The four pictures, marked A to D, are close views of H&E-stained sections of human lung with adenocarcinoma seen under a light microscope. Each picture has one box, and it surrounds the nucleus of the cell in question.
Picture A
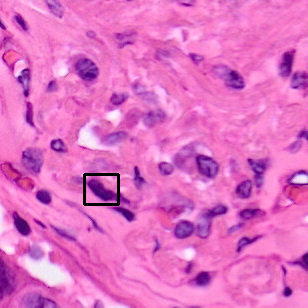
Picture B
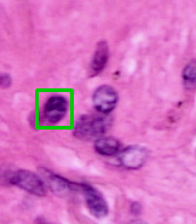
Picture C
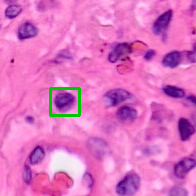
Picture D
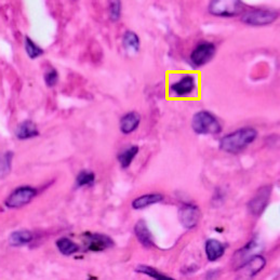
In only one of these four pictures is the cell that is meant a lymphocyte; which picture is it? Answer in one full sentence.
The picture with the lymphocyte is C.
